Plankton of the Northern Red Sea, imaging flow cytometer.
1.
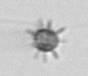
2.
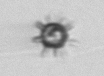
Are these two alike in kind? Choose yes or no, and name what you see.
Yes. Rhabdosphaera.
